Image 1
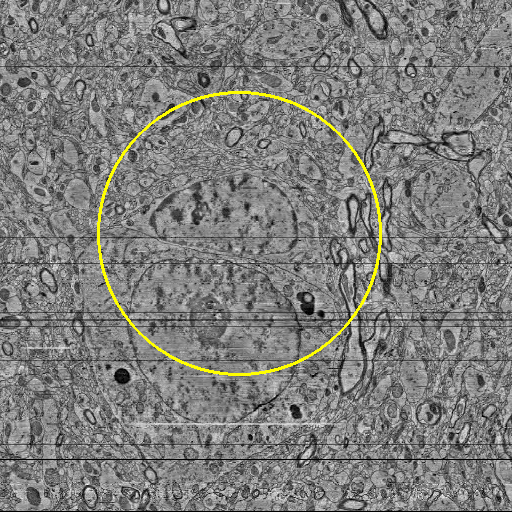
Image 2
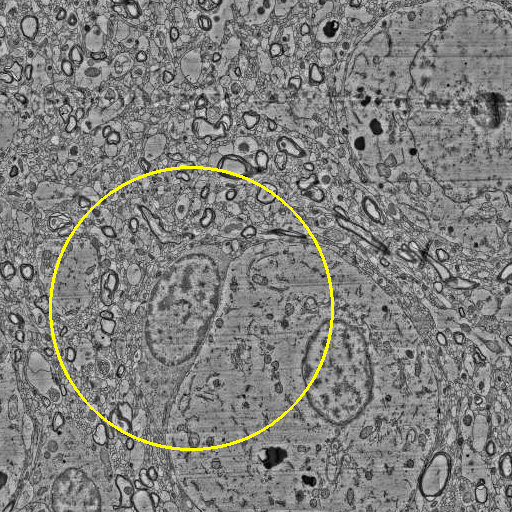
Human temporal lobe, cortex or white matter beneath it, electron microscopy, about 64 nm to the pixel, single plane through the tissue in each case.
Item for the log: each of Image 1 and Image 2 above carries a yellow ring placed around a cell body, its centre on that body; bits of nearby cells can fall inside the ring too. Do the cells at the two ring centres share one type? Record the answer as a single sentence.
No, the two cells at the ring centres in Image 1 and Image 2 are of two types.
